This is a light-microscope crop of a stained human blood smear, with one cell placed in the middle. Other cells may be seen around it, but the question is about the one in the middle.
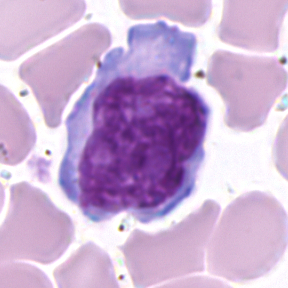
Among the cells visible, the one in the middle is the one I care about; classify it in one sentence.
Where the crop is centred, there is a plasma cell.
